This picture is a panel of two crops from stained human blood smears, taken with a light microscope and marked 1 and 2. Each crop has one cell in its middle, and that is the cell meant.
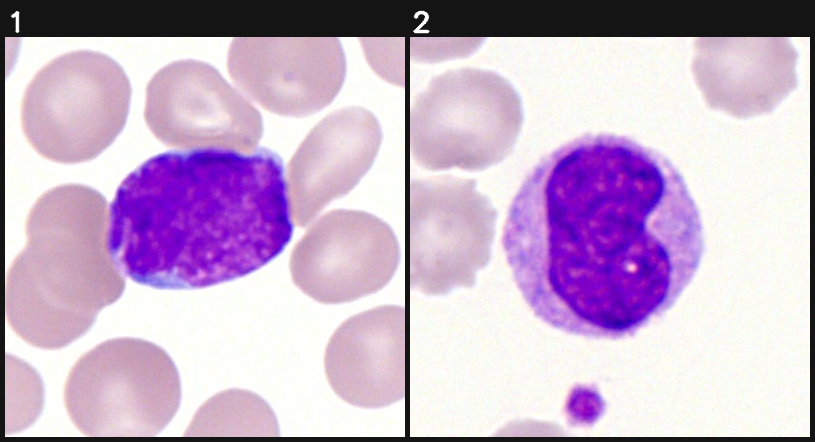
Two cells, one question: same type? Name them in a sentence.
No, crop 1 is where a myeloblast is shown, and crop 2 is where a monocyte is shown.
